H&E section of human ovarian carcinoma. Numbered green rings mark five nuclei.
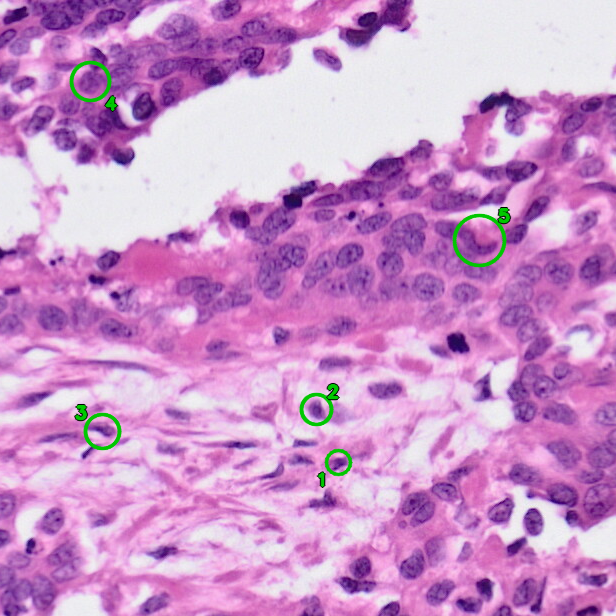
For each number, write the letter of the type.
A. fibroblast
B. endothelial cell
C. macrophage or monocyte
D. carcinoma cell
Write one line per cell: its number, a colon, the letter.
1: A
2: A
3: A
4: D
5: D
